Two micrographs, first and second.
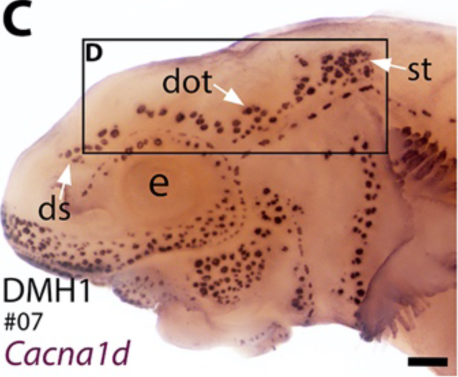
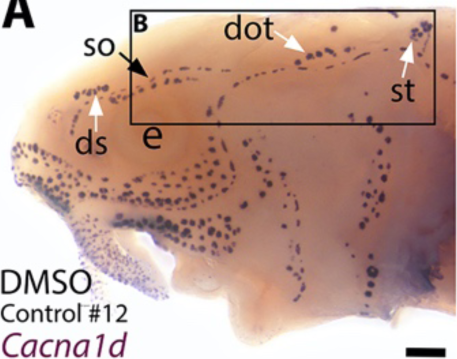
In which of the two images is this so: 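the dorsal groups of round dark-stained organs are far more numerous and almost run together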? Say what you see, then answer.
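The first image. First image: dense dark round dots fill the top of the head above the eye in a near-continuous band. Second image: few dots above the eye, in thin separate lines and small patches.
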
